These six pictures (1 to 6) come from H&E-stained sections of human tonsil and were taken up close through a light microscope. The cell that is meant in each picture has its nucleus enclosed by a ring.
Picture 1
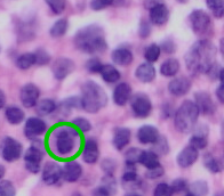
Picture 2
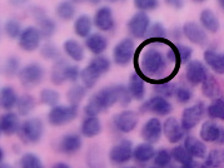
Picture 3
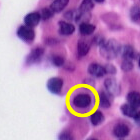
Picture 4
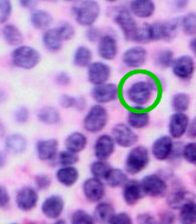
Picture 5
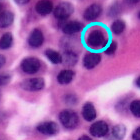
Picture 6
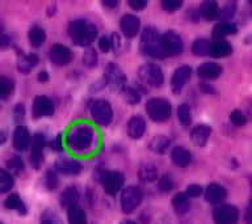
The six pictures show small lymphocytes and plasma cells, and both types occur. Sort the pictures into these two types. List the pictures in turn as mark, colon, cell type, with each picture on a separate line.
1: small lymphocyte
2: small lymphocyte
3: plasma cell
4: small lymphocyte
5: plasma cell
6: plasma cell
